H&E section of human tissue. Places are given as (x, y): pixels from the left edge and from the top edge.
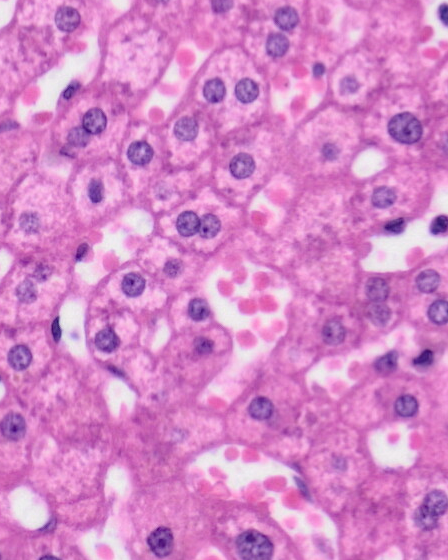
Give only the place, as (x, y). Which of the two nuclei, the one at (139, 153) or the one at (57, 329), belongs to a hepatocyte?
(139, 153)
